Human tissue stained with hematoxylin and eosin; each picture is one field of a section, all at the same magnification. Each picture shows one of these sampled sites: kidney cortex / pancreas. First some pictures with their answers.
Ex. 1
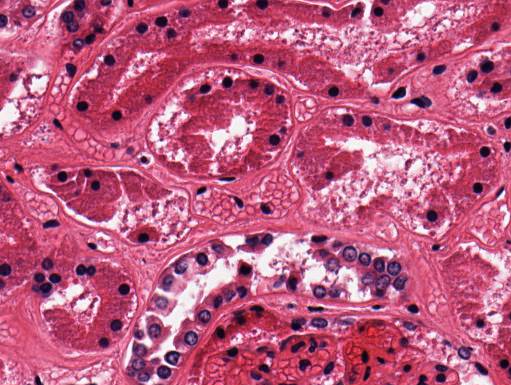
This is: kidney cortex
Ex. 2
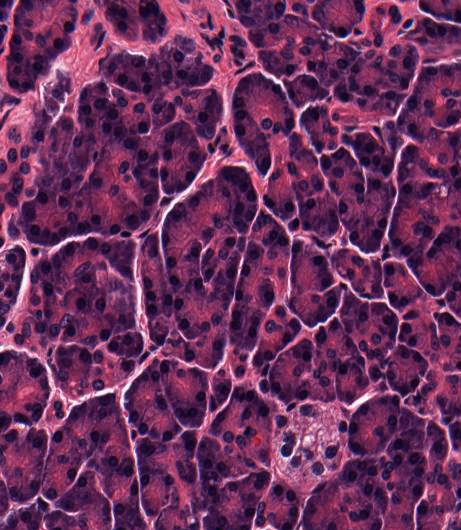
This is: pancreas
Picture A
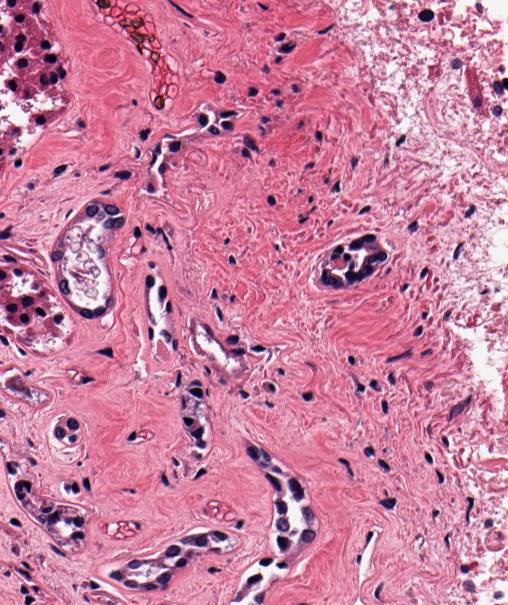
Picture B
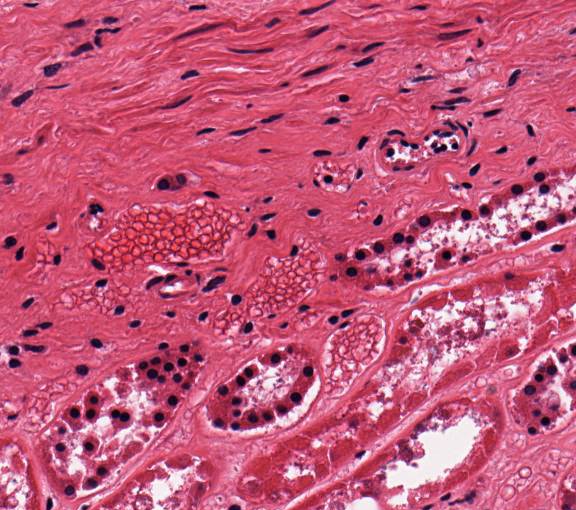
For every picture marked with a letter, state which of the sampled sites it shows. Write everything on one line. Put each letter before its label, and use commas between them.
A kidney cortex, B kidney cortex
